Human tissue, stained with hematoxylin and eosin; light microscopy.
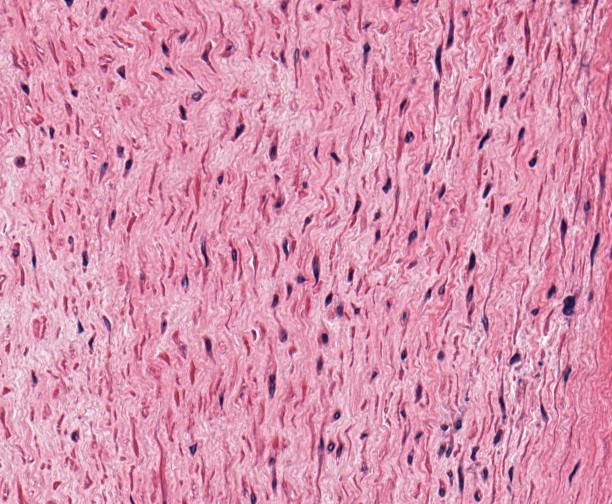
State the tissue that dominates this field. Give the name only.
tunica media of an artery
